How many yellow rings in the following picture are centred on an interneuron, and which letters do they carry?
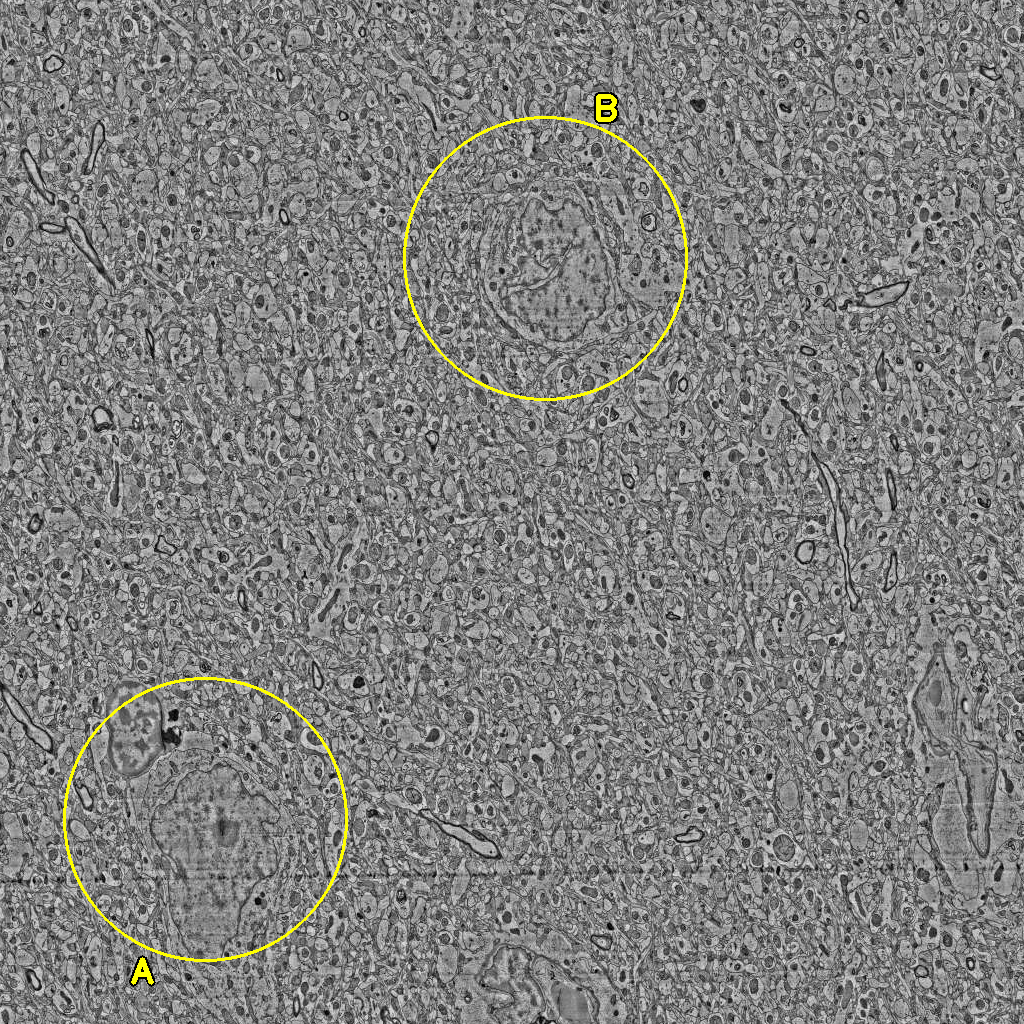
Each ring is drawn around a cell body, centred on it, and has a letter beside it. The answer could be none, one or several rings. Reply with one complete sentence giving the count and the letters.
The rings centred on an interneuron apiece number two, and they bear the letters A and B.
